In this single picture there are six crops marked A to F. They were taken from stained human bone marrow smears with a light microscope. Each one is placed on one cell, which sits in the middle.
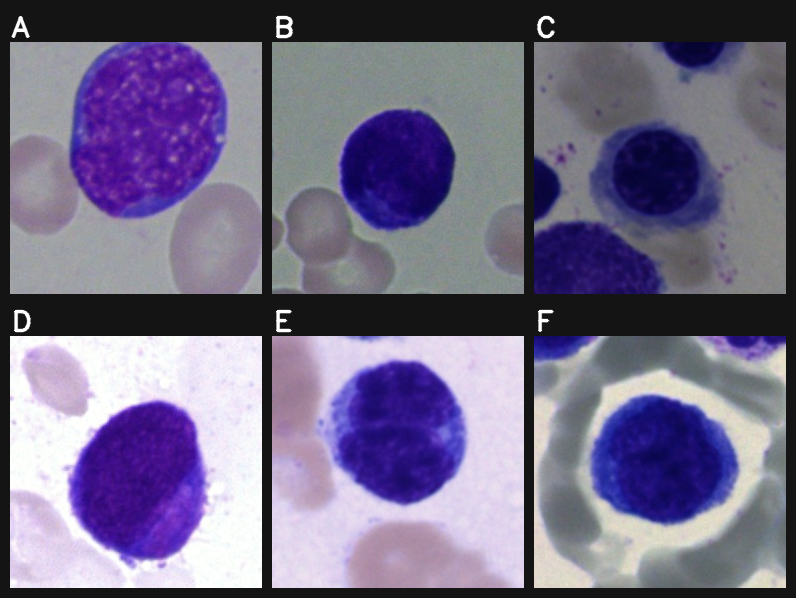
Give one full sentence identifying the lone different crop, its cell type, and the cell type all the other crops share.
All crops show blasts except crop C, which is a normoblast.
